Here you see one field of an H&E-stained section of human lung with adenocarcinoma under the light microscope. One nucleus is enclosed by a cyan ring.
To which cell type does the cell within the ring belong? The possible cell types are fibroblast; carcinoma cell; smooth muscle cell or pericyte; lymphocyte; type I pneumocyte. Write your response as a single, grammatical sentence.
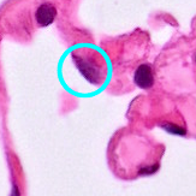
Within the stained tissue, the cell within the ring is a type I pneumocyte.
